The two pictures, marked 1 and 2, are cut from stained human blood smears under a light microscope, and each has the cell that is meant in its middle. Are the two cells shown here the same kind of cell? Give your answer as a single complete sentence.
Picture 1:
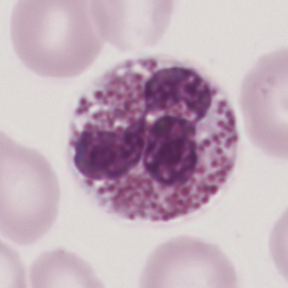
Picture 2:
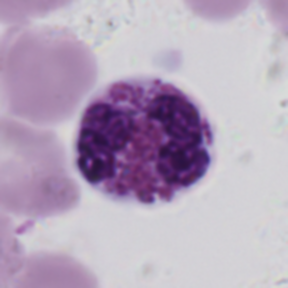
Yes, both cells are eosinophils.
